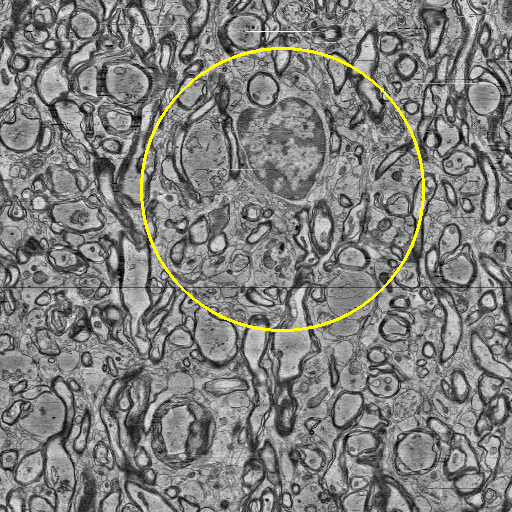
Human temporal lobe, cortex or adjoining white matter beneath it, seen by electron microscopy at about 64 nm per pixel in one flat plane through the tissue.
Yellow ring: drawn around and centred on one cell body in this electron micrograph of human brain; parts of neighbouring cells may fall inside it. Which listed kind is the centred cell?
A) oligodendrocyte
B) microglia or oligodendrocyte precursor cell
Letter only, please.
B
